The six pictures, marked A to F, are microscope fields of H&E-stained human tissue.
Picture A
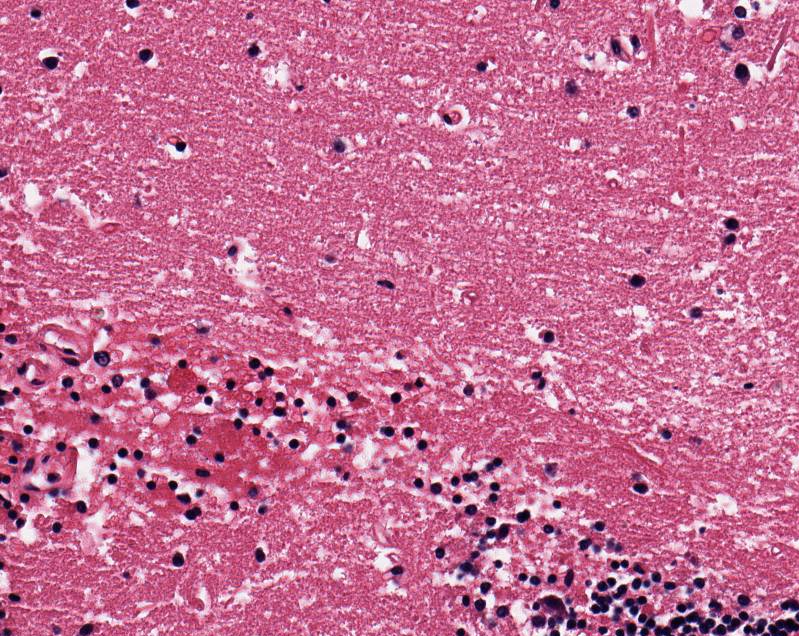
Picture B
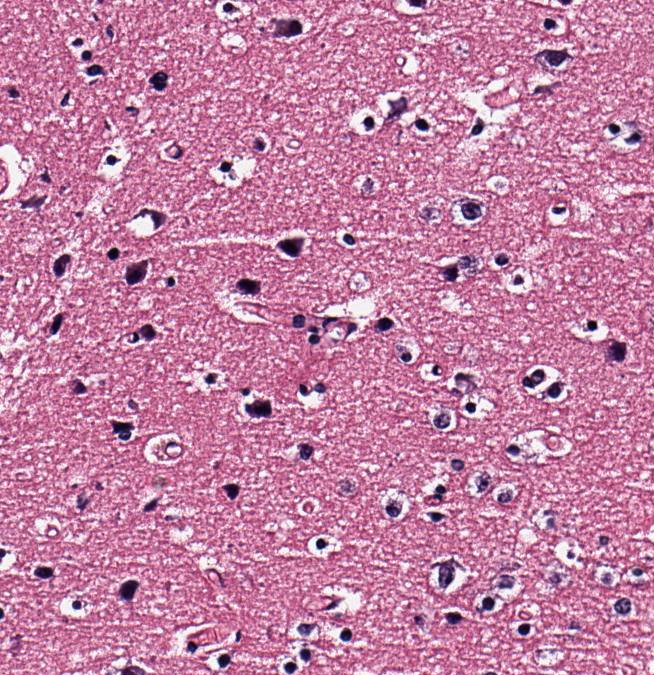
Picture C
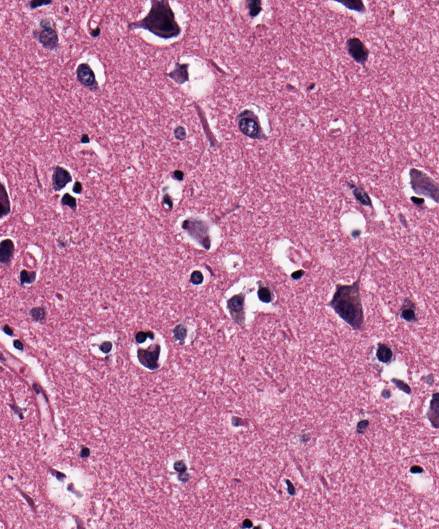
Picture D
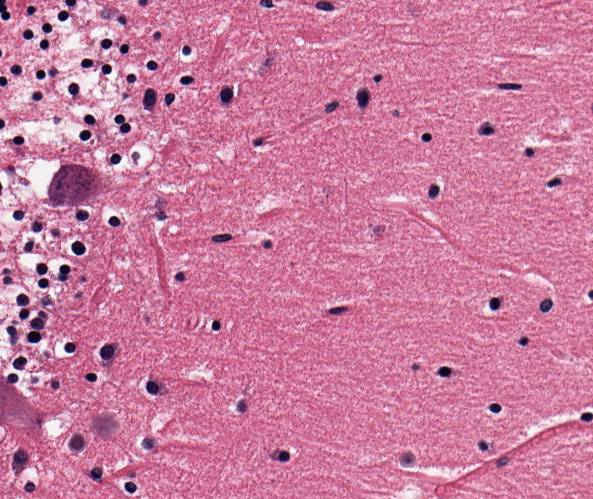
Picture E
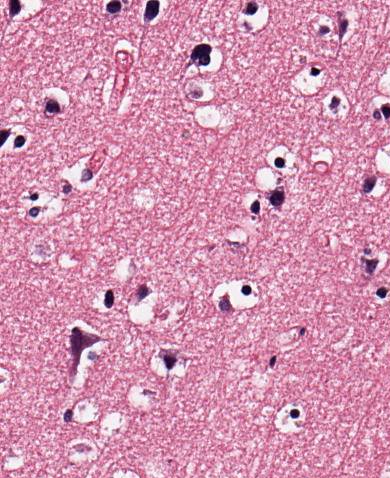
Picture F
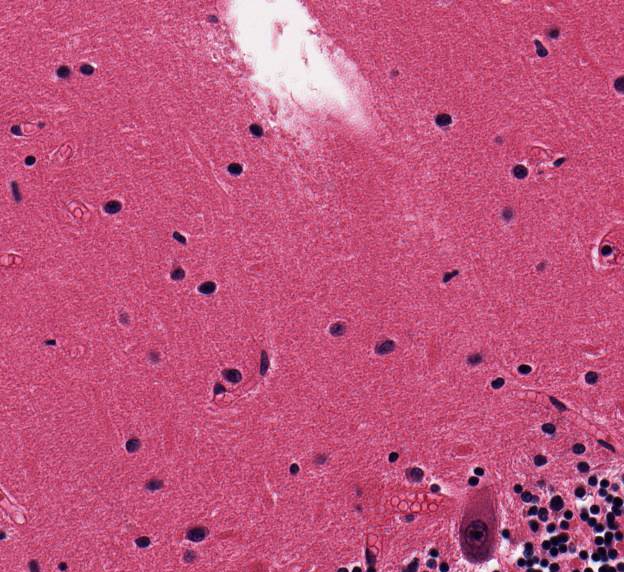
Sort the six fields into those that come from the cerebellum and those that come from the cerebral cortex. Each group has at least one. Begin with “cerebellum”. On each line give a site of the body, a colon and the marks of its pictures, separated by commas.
cerebellum: A, D, F
cerebral cortex: B, C, E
